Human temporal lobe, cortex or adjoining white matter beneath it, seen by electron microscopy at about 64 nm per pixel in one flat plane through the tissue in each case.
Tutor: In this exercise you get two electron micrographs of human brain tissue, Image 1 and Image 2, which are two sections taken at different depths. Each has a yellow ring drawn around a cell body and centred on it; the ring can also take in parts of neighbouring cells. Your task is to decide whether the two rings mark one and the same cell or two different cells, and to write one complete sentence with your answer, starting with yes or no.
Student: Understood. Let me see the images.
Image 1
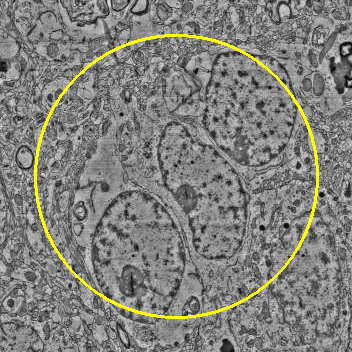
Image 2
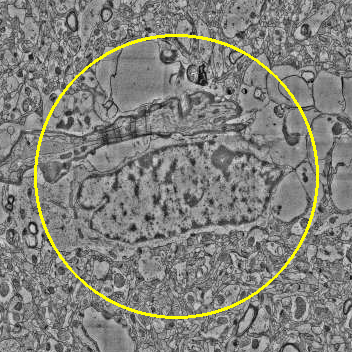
No, the two rings refer to two distinct cells.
